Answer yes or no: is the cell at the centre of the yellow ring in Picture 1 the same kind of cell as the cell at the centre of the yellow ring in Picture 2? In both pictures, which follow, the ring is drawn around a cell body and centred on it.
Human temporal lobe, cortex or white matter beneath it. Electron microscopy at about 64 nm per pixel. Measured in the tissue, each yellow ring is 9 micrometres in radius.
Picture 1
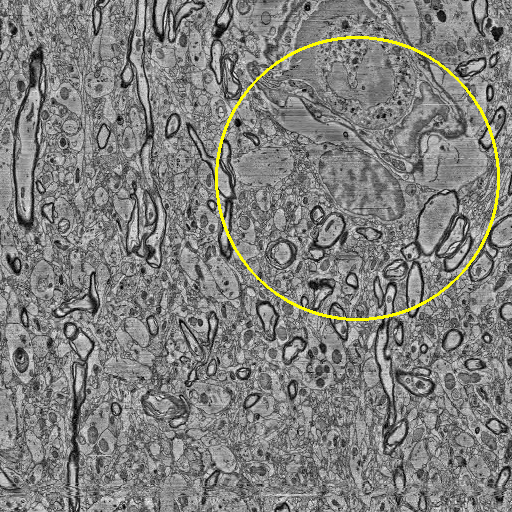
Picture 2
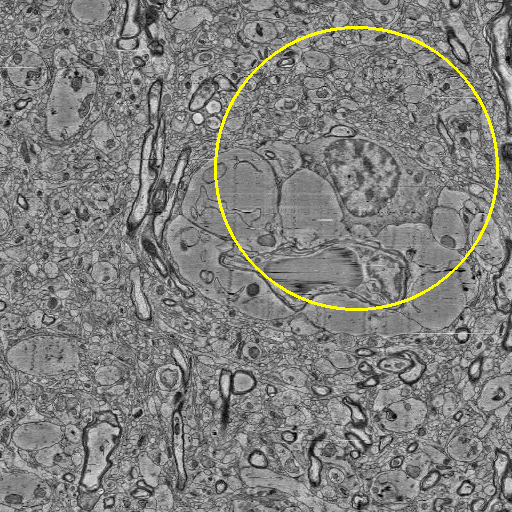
yes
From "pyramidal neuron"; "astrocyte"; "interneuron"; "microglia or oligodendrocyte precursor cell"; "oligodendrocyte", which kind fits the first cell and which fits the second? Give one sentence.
Each of the two pictures has an oligodendrocyte at the ring centre.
